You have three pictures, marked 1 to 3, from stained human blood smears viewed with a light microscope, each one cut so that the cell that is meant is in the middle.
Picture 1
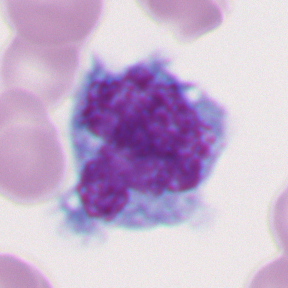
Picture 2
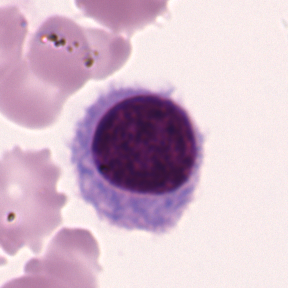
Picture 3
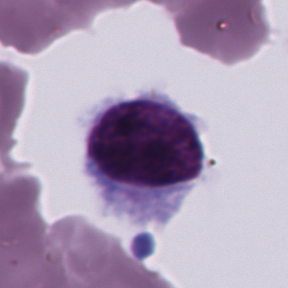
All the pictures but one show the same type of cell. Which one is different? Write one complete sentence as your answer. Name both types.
The different one is picture 1; it shows a monocyte, whereas all the others show hairy cells.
